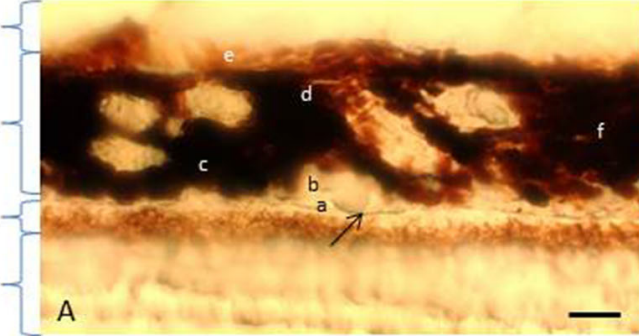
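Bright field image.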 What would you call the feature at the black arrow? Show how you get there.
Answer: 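The arrow points to a thin line running just above the brownish band of epithelium. The line lies between that band and the pigmented vascular layer.
Hence: Bruch’s membrane.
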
